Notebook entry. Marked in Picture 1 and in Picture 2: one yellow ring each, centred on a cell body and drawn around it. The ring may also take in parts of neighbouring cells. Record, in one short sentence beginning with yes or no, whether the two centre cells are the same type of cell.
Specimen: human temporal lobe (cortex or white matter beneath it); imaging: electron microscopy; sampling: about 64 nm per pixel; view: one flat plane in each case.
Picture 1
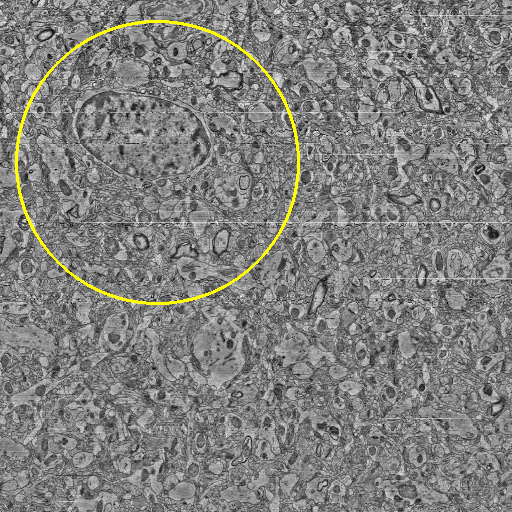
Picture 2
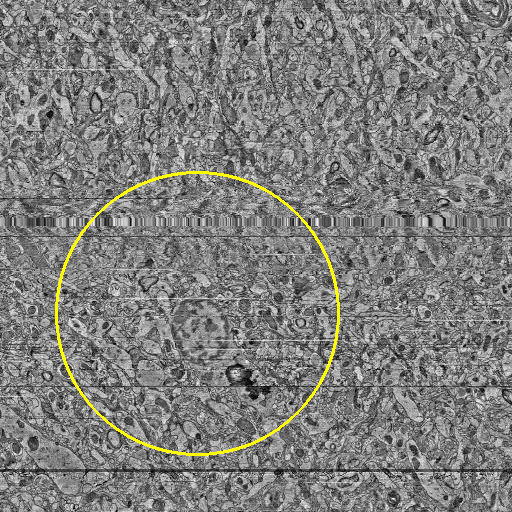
No, they are two types of cell.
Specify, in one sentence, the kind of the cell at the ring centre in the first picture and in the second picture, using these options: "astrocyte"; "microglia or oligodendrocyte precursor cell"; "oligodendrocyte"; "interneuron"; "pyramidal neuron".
So the first is a microglial cell or oligodendrocyte precursor cell, the second an oligodendrocyte.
